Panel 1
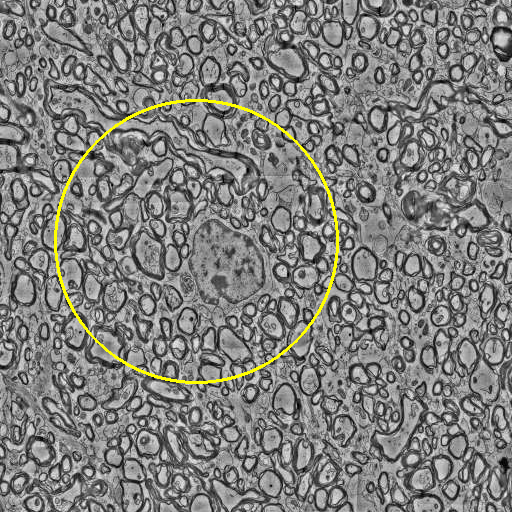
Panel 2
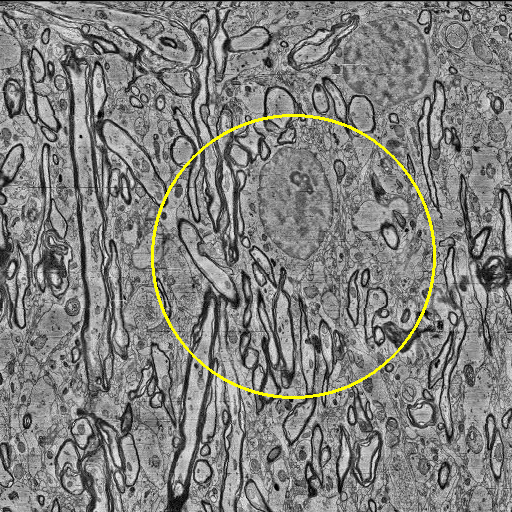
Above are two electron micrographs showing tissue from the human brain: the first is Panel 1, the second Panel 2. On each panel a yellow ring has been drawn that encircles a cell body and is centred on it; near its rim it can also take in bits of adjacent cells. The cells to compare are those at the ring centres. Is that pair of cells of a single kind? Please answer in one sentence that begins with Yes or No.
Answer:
No, the ring-centred cells of Panel 1 and Panel 2 belong to two kinds.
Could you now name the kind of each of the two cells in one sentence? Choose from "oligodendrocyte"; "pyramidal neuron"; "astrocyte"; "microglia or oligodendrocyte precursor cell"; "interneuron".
The first ring encloses a microglial cell or oligodendrocyte precursor cell; the second ring encloses an oligodendrocyte.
